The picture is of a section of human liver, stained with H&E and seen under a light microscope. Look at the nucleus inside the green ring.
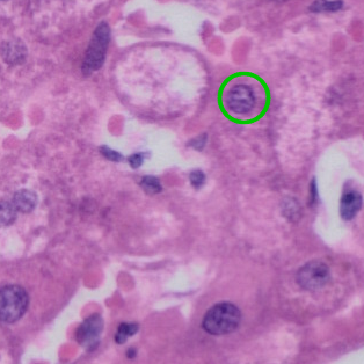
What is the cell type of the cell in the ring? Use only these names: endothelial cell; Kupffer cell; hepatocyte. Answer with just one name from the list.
hepatocyte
